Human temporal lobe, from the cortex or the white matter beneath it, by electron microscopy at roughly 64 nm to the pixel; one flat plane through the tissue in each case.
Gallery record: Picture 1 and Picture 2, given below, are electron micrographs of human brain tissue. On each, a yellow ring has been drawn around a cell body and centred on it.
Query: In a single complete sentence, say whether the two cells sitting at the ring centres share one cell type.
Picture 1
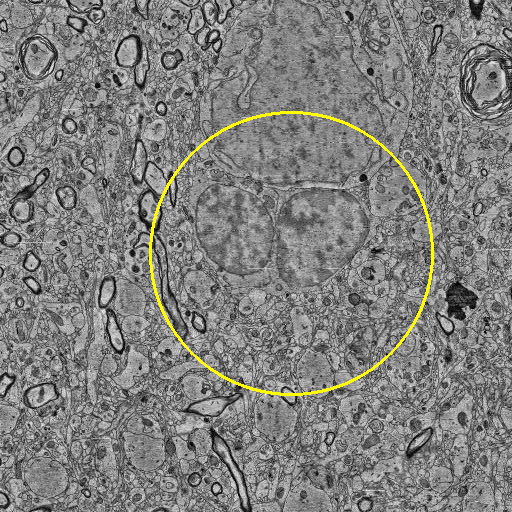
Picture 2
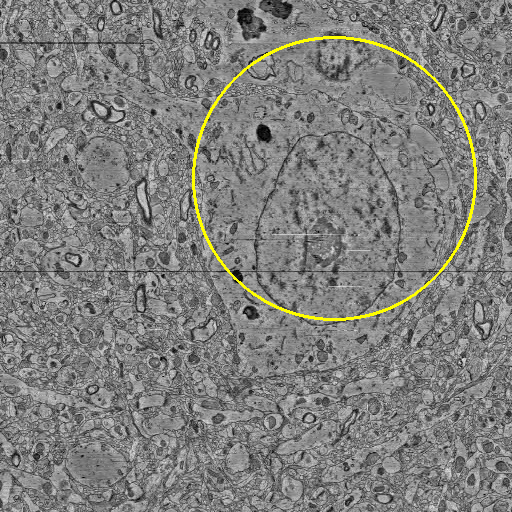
No, in the two pictures the cells at the rings' centres are of two separate types.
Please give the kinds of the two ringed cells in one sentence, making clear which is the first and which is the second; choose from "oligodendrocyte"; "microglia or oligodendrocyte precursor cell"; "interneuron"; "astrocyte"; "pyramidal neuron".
In the second picture the ringed cell is a pyramidal neuron; in the first it is an oligodendrocyte.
